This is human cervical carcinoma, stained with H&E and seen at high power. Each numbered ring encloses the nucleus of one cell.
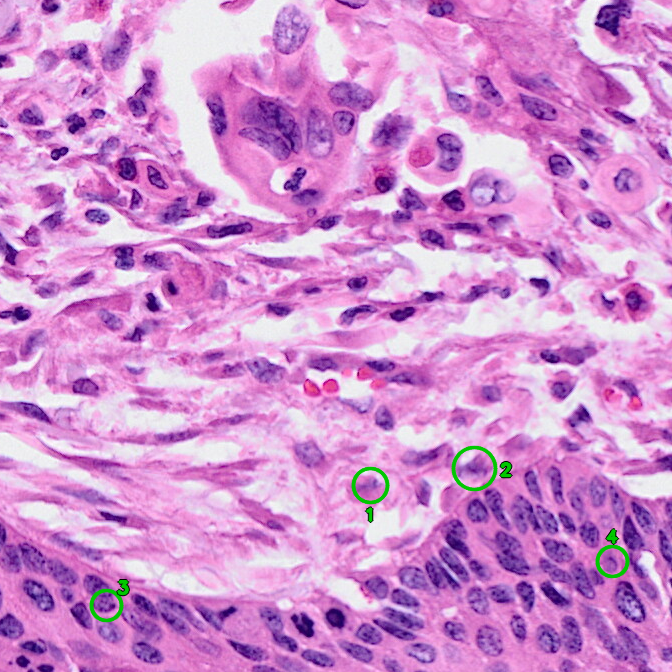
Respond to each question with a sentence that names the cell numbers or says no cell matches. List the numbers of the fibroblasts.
Identified as fibroblasts are the cells numbered 1 and 2.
